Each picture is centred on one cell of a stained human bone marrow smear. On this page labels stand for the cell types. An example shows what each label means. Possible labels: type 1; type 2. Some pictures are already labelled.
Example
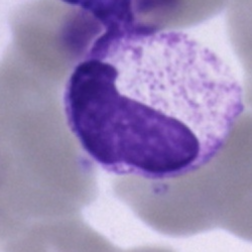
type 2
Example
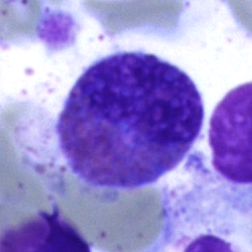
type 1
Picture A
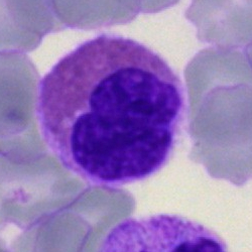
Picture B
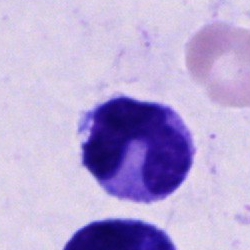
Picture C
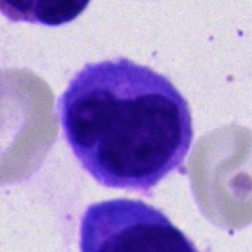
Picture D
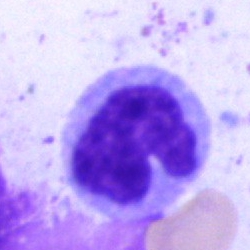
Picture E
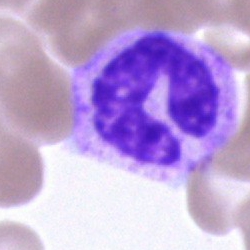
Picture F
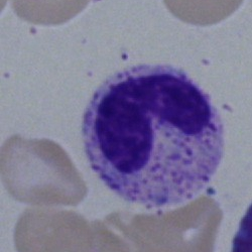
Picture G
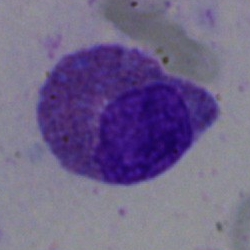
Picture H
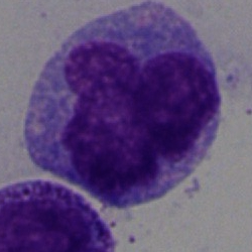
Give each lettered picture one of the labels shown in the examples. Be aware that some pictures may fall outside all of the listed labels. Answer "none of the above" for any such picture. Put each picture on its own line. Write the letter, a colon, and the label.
A: type 1
B: type 2
C: none of the above
D: none of the above
E: type 2
F: type 2
G: type 1
H: none of the above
